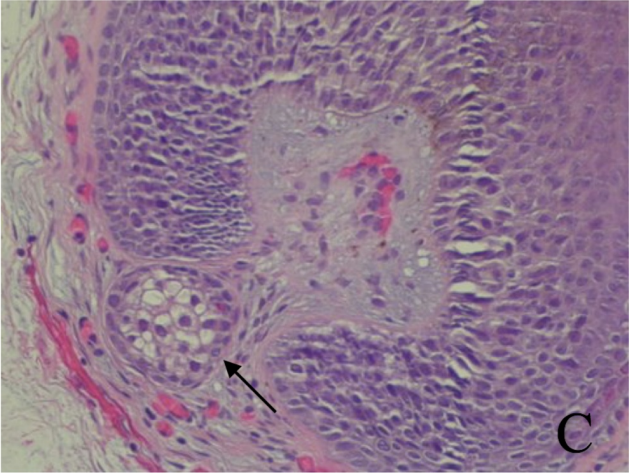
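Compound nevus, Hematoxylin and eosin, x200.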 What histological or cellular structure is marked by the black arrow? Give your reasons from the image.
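A small round cluster of clear, vacuolated cells. It sits beside the pale stromal core of a hair bulb, among basophilic matrix cells.
Sebaceous gland.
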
